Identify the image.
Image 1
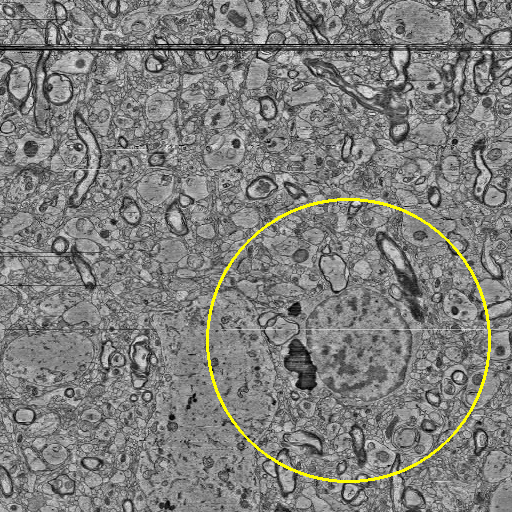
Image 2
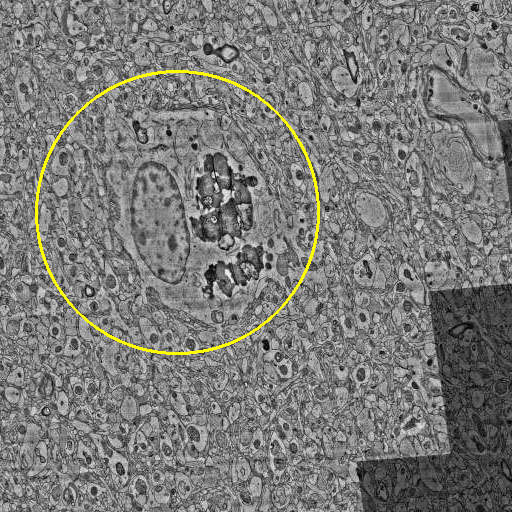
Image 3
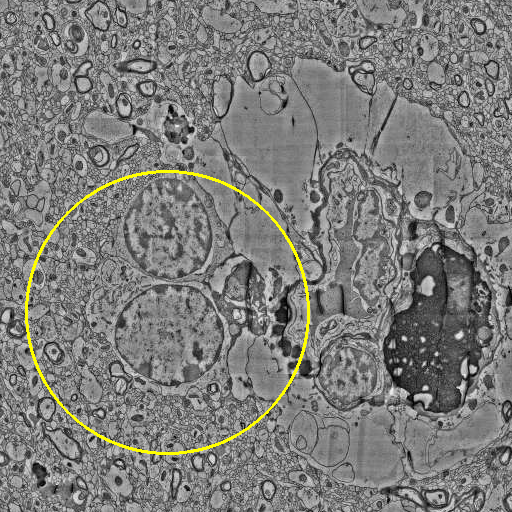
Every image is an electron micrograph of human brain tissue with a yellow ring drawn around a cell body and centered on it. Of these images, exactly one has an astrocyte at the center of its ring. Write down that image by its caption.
Image 2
